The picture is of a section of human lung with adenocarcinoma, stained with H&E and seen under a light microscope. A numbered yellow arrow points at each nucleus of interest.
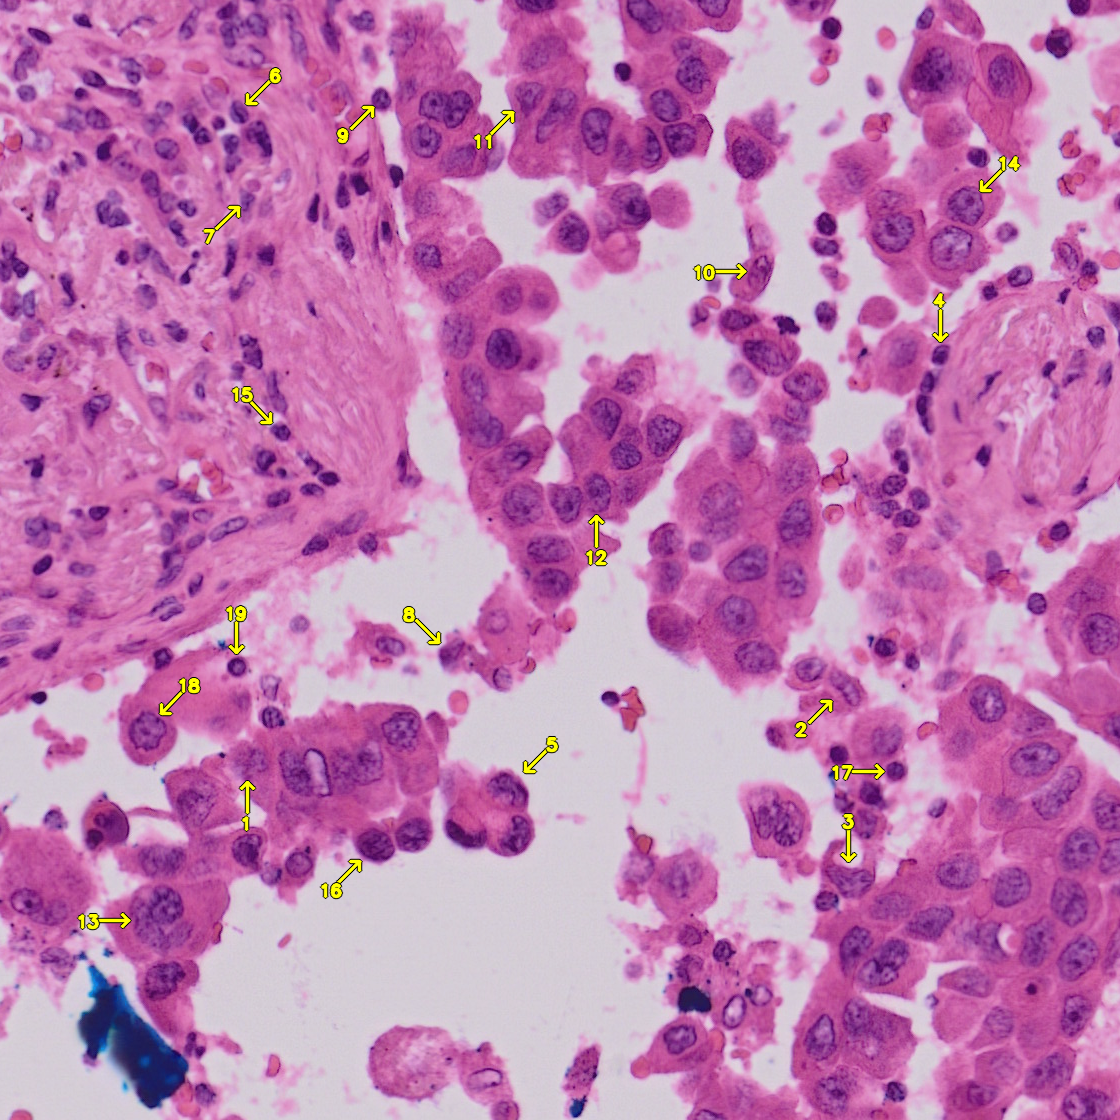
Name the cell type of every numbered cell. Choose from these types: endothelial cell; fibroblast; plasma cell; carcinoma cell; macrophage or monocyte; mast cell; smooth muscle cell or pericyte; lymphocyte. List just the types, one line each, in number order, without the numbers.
carcinoma cell
macrophage or monocyte
carcinoma cell
lymphocyte
carcinoma cell
lymphocyte
plasma cell
macrophage or monocyte
lymphocyte
macrophage or monocyte
carcinoma cell
carcinoma cell
carcinoma cell
carcinoma cell
lymphocyte
carcinoma cell
lymphocyte
carcinoma cell
lymphocyte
